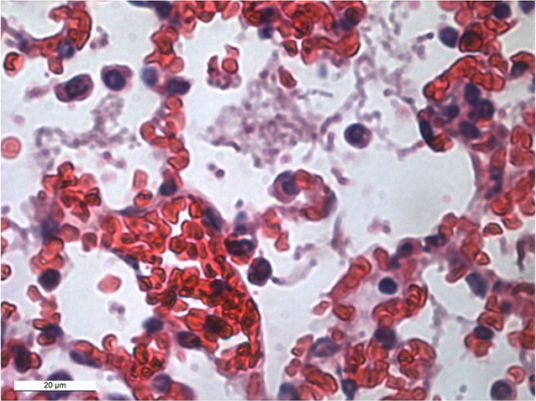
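Lung tissue whose alveolar septa are densely packed with bright red, disc-shaped erythrocytes, among which fewer purple nuclei are seen. The air spaces contain pale pink, wispy fibrillar material and a few loose rounded cells.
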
